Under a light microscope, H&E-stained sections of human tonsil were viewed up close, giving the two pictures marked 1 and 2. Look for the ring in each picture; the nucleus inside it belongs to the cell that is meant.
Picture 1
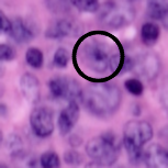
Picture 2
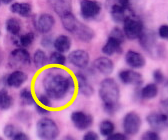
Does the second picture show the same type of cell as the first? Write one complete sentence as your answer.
Yes; the cells in both pictures are proliferating B cells.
